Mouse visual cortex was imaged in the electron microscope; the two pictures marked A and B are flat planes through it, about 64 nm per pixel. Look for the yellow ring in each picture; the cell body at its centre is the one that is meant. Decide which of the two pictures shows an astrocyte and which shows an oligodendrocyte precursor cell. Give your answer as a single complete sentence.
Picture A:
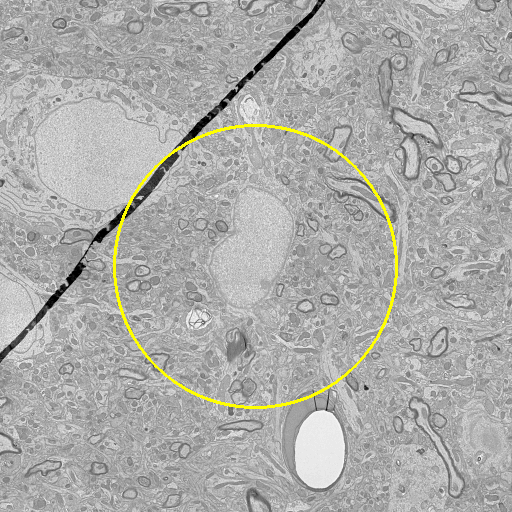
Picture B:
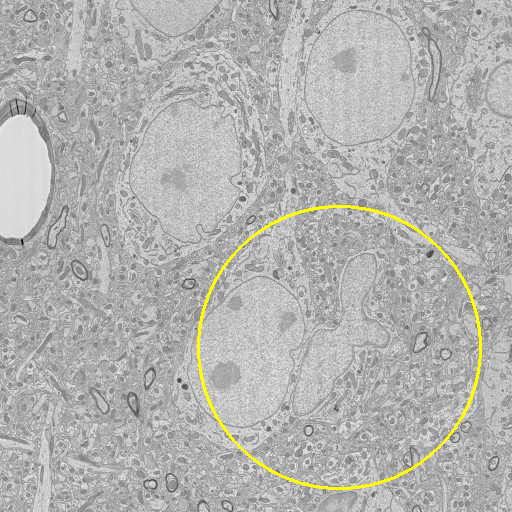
Picture A shows an astrocyte and picture B shows an oligodendrocyte precursor cell.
